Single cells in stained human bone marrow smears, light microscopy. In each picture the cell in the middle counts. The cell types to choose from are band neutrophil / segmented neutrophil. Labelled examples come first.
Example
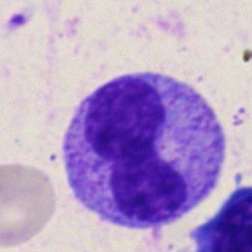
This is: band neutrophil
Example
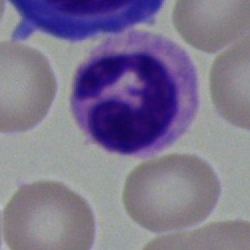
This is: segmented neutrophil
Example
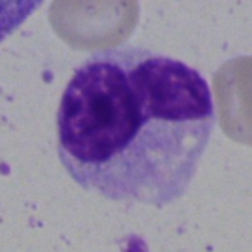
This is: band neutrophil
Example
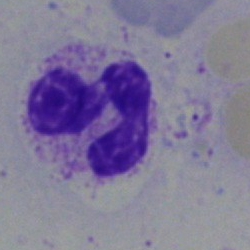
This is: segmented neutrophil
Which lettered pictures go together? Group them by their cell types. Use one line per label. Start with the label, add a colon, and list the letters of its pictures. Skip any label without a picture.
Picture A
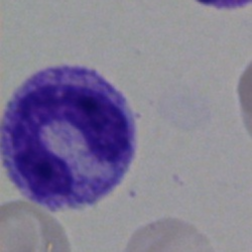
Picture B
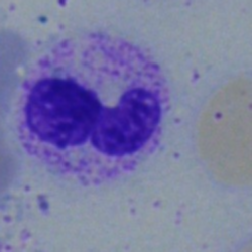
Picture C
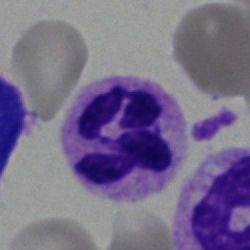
band neutrophil: A
segmented neutrophil: B, C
